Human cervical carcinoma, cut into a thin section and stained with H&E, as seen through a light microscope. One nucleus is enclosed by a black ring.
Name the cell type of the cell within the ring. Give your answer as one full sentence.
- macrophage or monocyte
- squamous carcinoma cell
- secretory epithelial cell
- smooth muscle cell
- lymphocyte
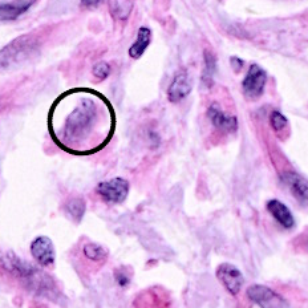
As to its cell type, the cell within the ring is a macrophage or monocyte.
